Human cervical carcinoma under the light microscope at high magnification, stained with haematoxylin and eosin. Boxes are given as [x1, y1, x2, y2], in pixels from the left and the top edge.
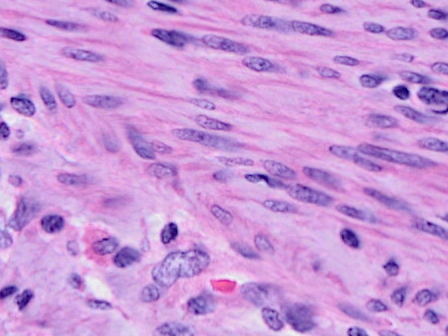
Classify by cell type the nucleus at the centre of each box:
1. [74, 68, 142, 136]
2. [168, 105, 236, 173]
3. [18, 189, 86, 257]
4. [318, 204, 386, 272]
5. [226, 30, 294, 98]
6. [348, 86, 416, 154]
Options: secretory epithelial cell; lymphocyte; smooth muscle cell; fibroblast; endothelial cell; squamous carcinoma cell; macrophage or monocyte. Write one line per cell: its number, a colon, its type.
1: smooth muscle cell
2: smooth muscle cell
3: lymphocyte
4: lymphocyte
5: smooth muscle cell
6: smooth muscle cell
